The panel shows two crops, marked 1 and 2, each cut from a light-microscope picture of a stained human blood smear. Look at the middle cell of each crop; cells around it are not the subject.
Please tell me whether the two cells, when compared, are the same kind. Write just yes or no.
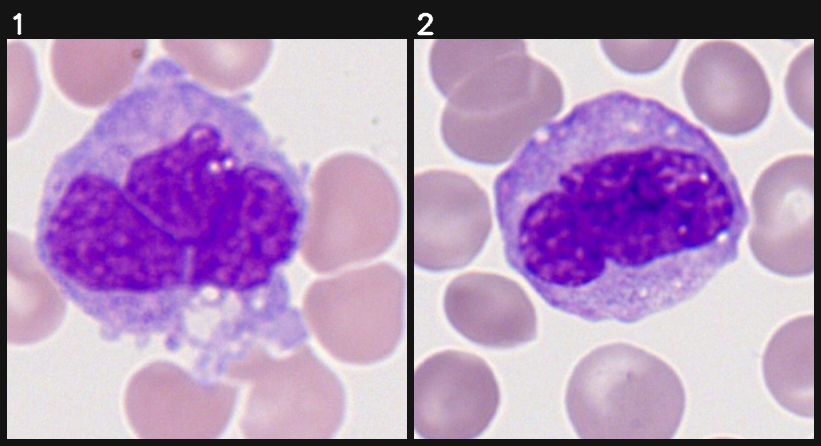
yes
